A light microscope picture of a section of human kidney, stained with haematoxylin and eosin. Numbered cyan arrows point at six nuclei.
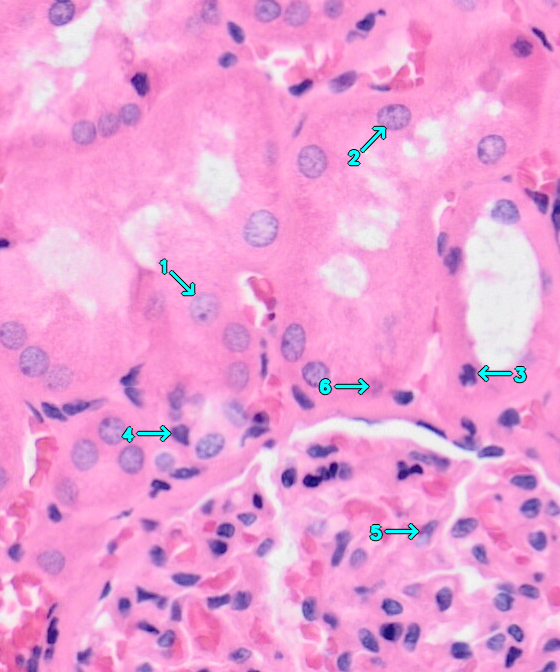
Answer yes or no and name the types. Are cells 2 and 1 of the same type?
Yes, both are proximal tubule cells.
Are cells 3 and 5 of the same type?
No, cell 3 is a loop of Henle or distal tubule cell and cell 5 is an endothelial cell.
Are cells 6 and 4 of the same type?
No, cell 6 is a proximal tubule cell and cell 4 is a collecting duct cell.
